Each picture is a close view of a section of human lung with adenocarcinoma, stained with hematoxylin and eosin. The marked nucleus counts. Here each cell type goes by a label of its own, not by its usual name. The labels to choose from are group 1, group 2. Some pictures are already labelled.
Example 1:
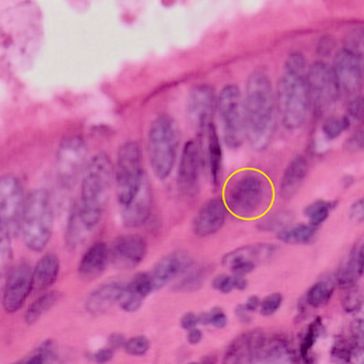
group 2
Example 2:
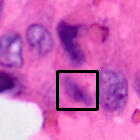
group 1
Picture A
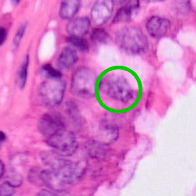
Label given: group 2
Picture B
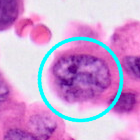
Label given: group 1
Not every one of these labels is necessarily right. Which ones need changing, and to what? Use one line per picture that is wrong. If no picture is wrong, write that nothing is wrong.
Nothing to fix; every label fits.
